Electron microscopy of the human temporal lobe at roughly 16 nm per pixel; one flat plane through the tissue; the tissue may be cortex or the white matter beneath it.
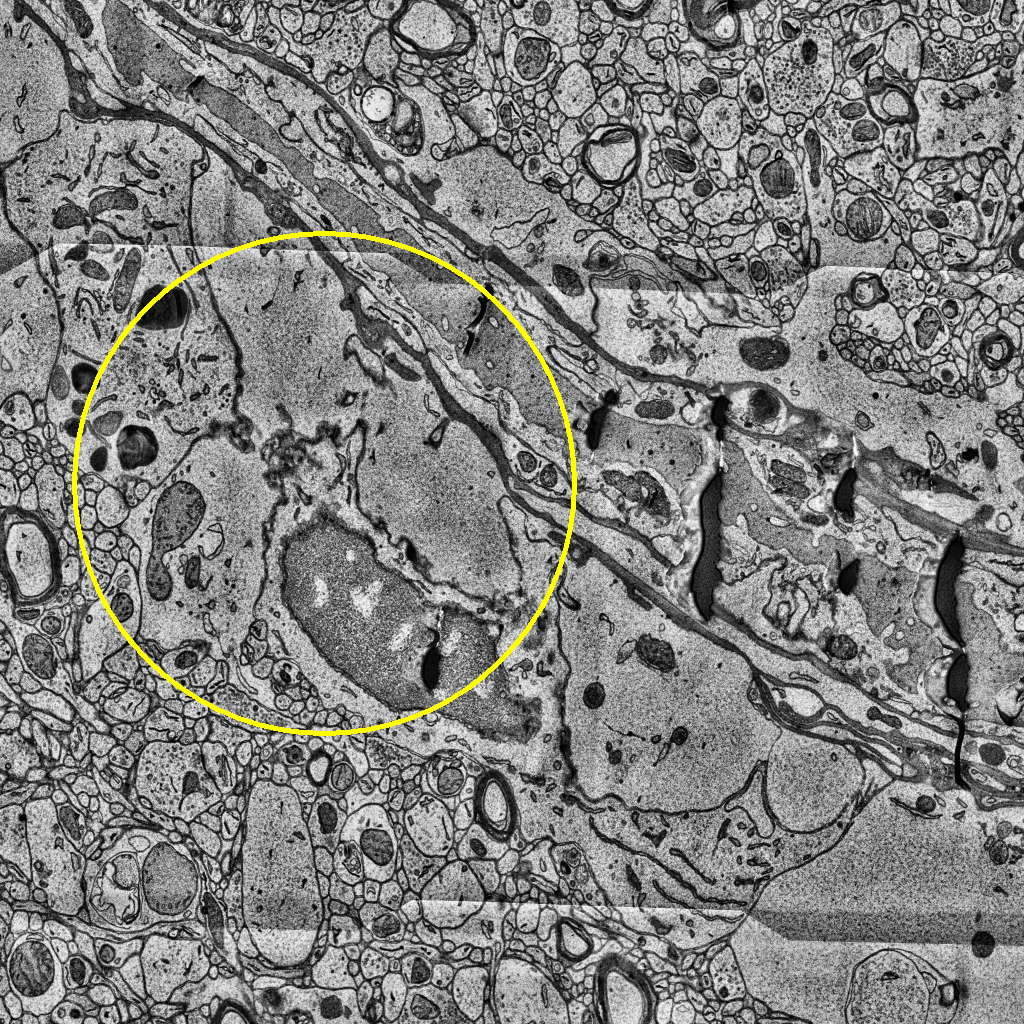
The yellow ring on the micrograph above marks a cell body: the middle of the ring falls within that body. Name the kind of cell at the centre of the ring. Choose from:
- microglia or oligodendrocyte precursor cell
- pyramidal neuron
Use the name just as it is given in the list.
microglia or oligodendrocyte precursor cell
